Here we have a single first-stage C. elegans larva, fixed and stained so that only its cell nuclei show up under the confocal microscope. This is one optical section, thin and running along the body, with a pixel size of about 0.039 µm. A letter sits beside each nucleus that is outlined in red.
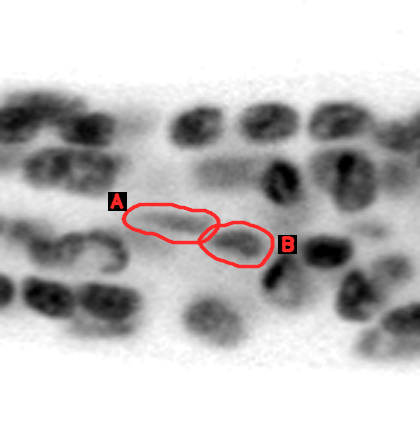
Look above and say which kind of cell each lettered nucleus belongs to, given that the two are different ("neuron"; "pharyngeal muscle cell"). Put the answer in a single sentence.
A is in a pharyngeal muscle cell and B is in a neuron.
